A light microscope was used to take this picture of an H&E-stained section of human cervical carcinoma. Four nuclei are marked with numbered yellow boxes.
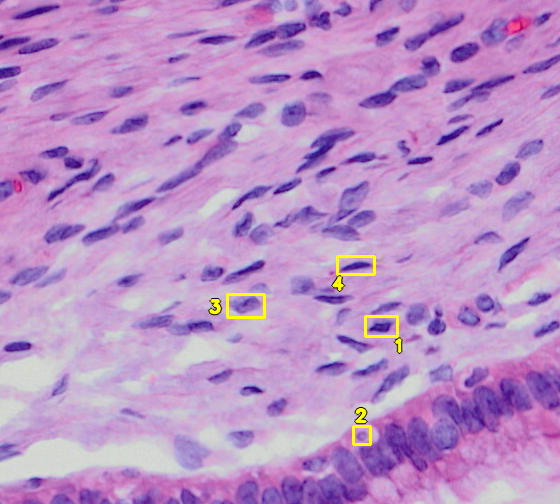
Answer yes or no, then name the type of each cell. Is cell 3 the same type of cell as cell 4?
Yes, both are fibroblasts.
